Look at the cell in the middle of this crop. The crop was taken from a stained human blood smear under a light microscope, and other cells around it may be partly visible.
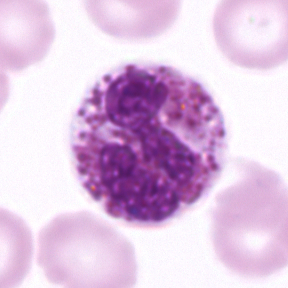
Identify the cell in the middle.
eosinophil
